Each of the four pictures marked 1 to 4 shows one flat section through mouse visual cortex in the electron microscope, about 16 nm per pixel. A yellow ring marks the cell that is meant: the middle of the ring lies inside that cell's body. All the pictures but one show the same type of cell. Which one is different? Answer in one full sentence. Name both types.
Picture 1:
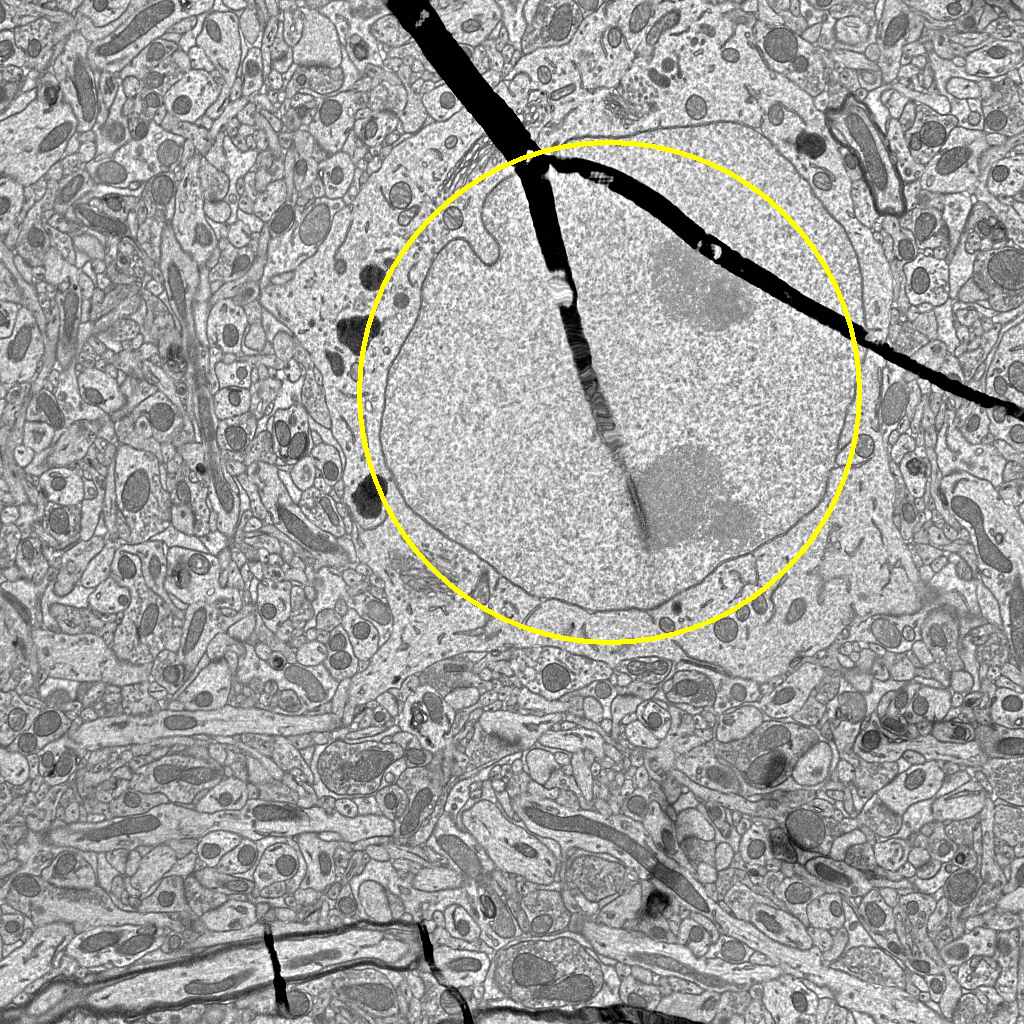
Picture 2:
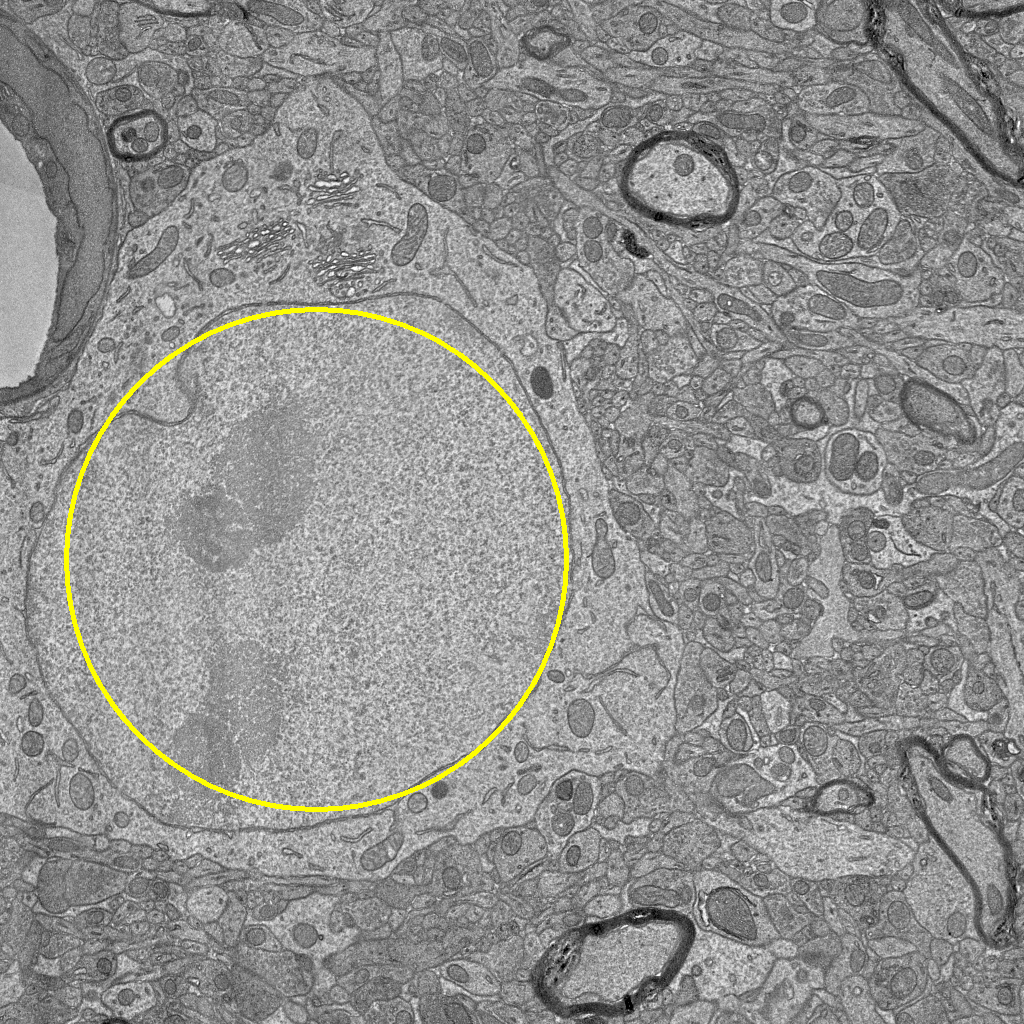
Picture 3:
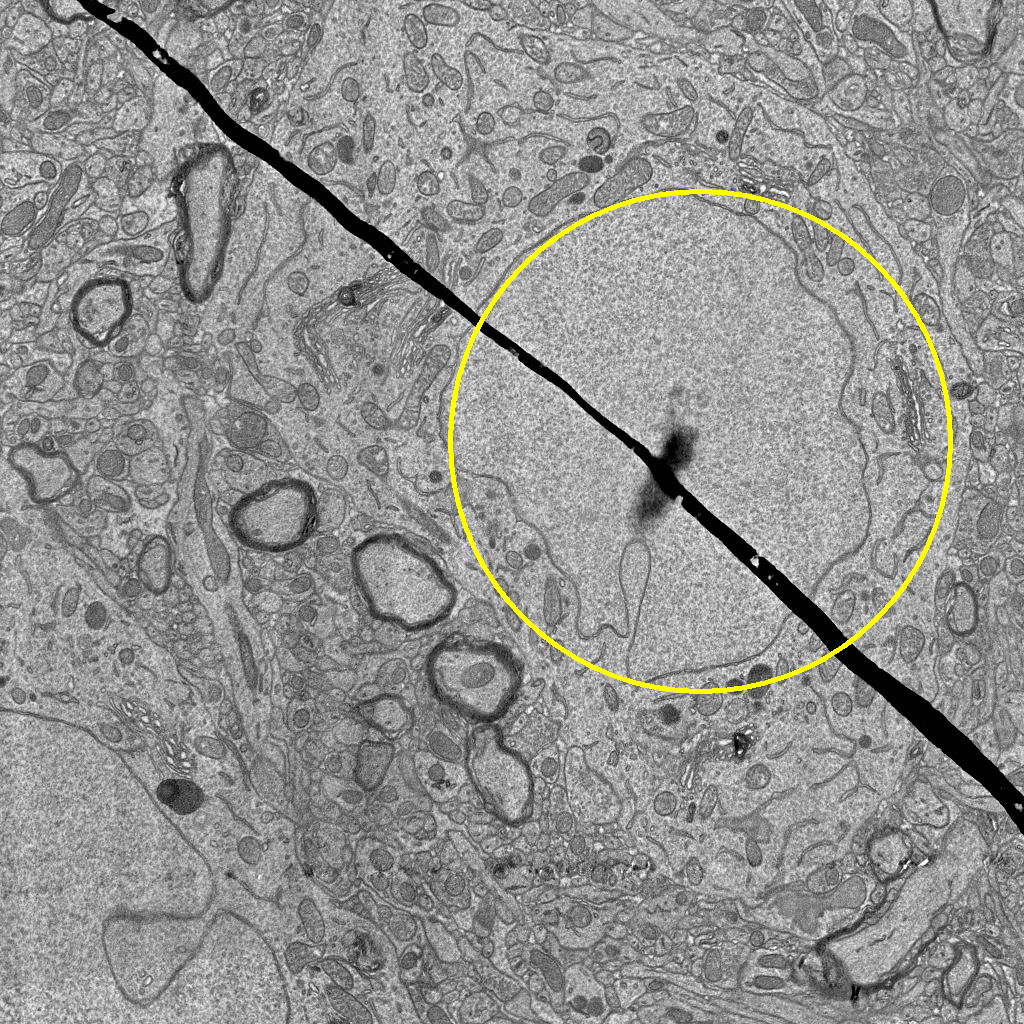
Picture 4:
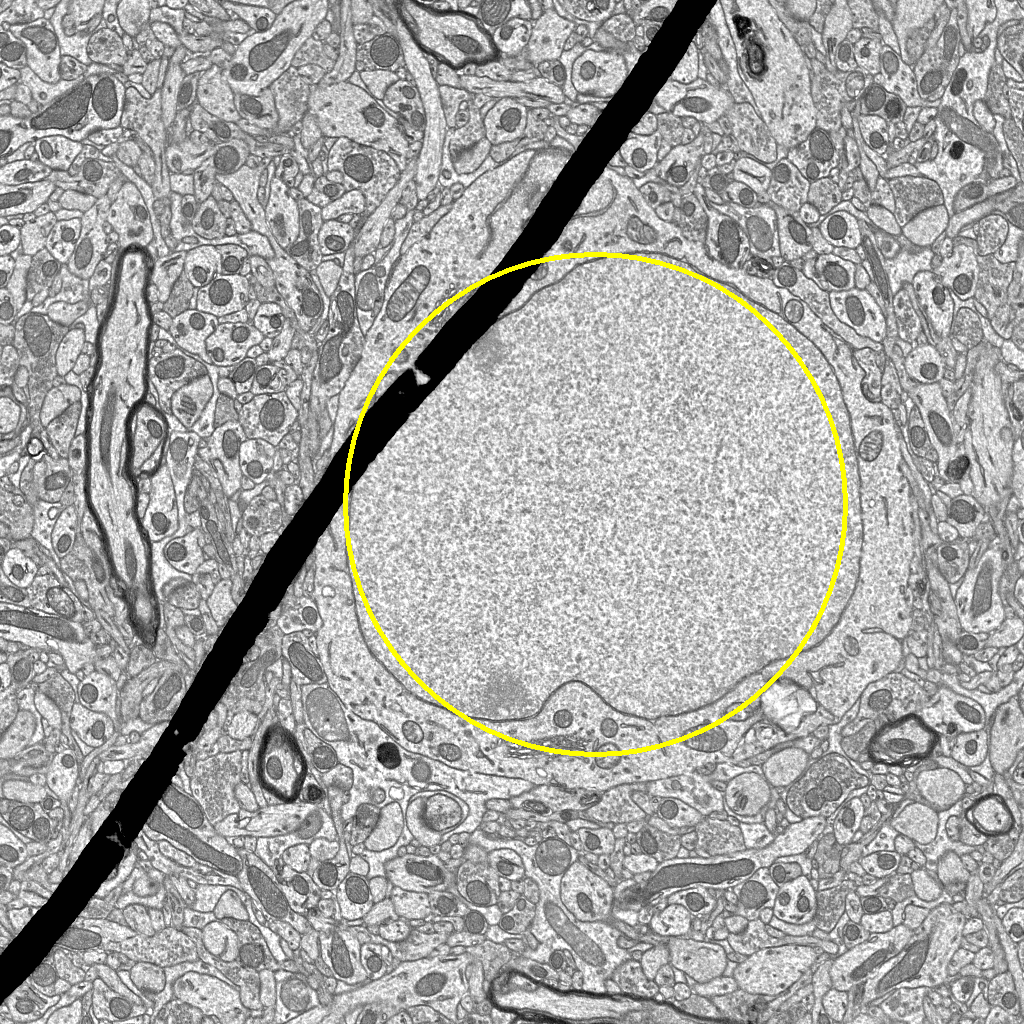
Unlike the rest, which show excitatory neurons, picture 3 shows an inhibitory neuron.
